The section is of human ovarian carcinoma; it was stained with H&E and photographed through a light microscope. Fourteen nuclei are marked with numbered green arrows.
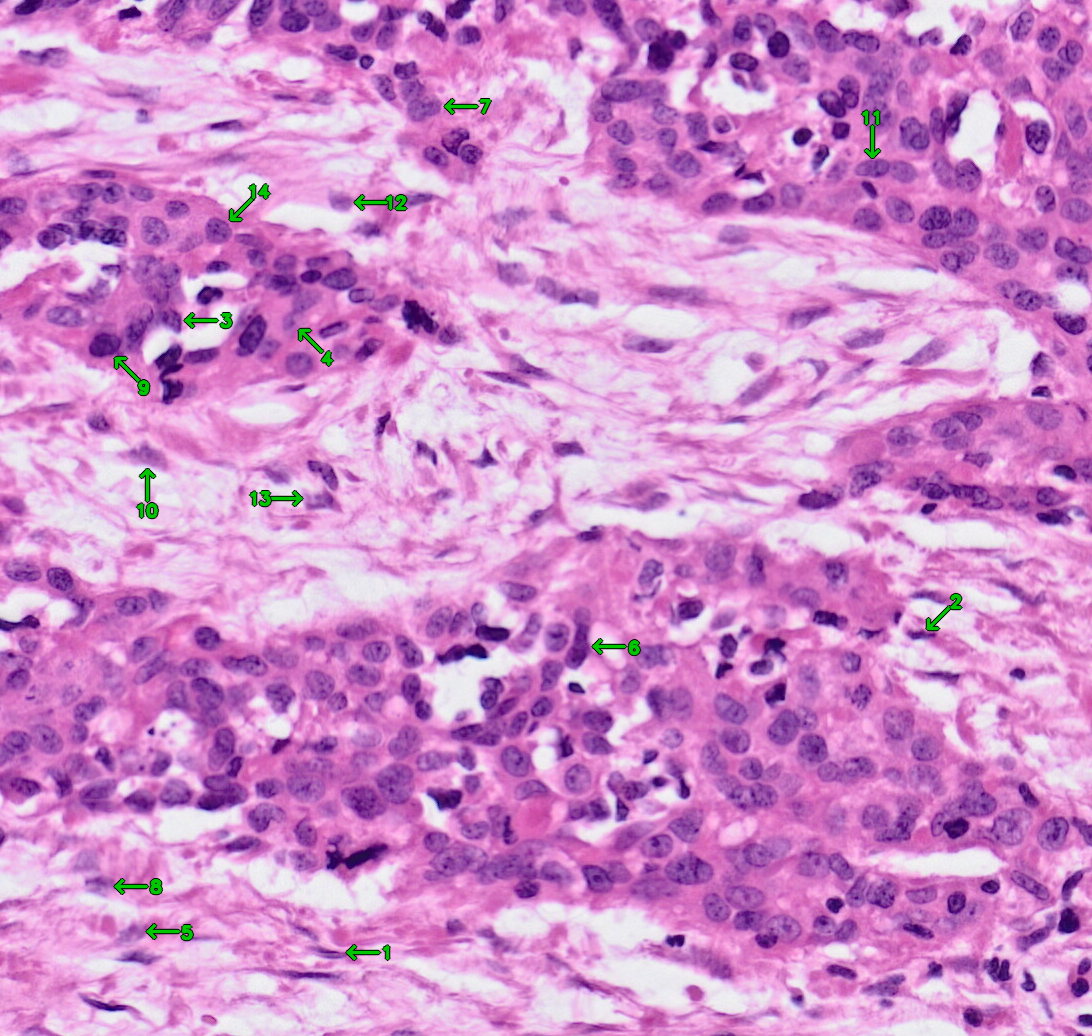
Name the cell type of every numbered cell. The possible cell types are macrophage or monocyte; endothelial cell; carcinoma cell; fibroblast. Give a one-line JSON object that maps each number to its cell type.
{"1": "fibroblast", "2": "fibroblast", "3": "carcinoma cell", "4": "carcinoma cell", "5": "fibroblast", "6": "carcinoma cell", "7": "carcinoma cell", "8": "fibroblast", "9": "carcinoma cell", "10": "fibroblast", "11": "carcinoma cell", "12": "fibroblast", "13": "fibroblast", "14": "carcinoma cell"}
